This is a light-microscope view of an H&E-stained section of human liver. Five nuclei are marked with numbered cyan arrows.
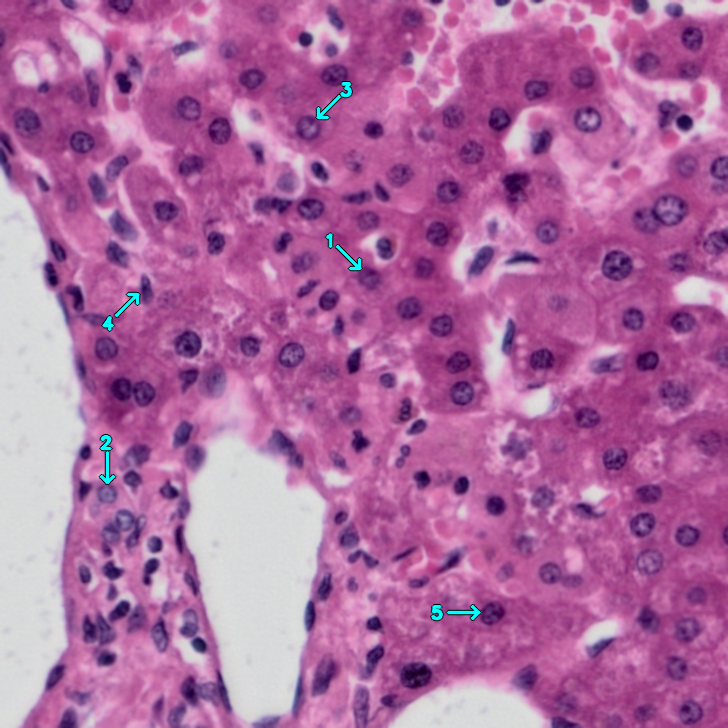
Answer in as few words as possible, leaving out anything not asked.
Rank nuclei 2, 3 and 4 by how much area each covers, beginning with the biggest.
3, 2, 4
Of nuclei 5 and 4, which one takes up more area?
5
